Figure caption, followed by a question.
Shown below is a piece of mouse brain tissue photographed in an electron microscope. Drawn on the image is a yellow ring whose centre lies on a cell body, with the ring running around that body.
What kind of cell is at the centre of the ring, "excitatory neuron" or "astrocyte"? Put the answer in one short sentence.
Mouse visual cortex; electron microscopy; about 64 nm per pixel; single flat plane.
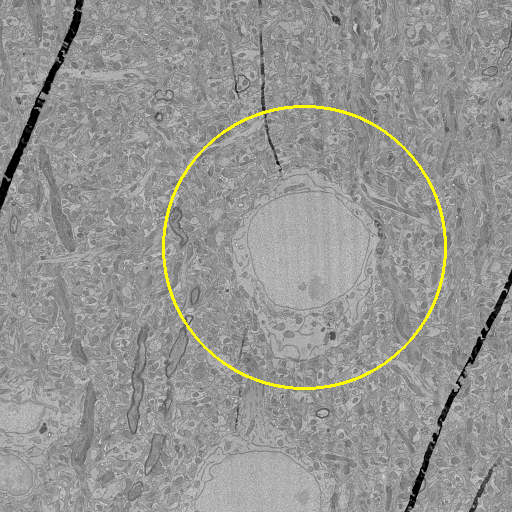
The ring marks the cell body of an excitatory neuron.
